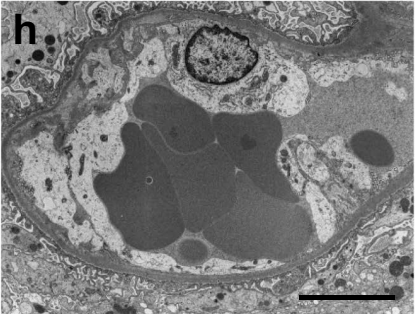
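Here a glomerular capillary loop is cut across, seen by transmission electron microscopy. Its lumen holds several red blood cells, dark and smooth, pressed against one another. The endothelial lining is pale and swollen, its cytoplasm bulging into the lumen, and one endothelial nucleus sits at the top of the loop. Outside the loop lies the surrounding glomerular tissue with small dark granules and cell profiles.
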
